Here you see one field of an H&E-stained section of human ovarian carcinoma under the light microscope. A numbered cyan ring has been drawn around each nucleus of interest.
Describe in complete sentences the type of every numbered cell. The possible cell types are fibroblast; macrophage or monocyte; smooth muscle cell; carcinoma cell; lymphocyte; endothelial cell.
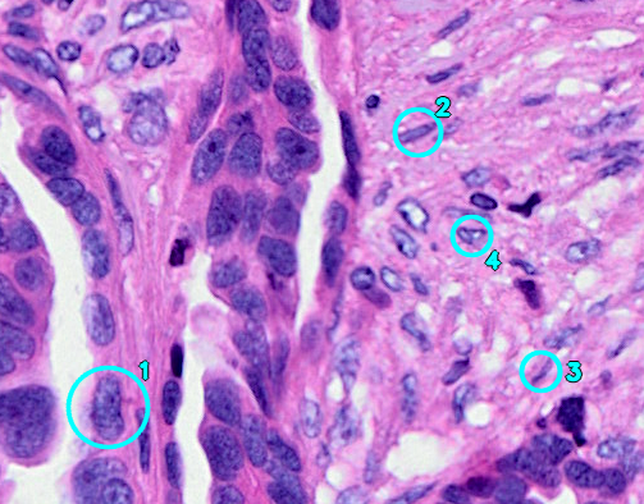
Cell 1 is a carcinoma cell, cell 2 is a fibroblast, cell 3 is a fibroblast and cell 4 is a fibroblast.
